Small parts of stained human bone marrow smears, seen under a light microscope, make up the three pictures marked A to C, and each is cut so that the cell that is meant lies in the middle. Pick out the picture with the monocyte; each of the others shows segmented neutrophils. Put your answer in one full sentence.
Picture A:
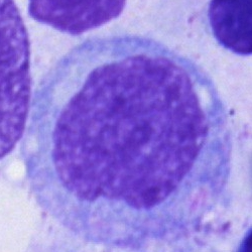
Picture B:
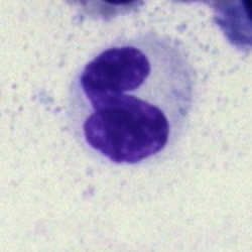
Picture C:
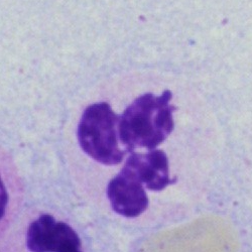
The monocyte is the one in picture A.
